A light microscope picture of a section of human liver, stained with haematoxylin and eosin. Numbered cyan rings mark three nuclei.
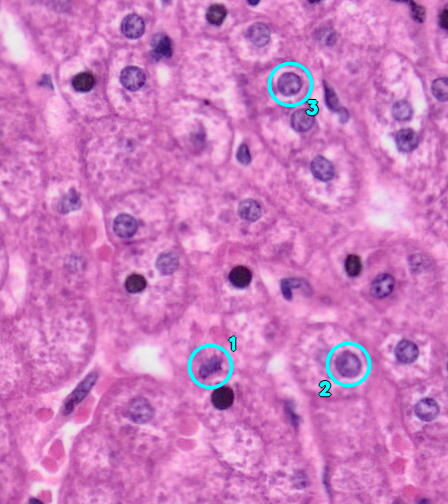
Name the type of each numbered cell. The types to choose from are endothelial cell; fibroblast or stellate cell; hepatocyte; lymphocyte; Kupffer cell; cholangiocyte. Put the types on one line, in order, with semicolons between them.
fibroblast or stellate cell; hepatocyte; hepatocyte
